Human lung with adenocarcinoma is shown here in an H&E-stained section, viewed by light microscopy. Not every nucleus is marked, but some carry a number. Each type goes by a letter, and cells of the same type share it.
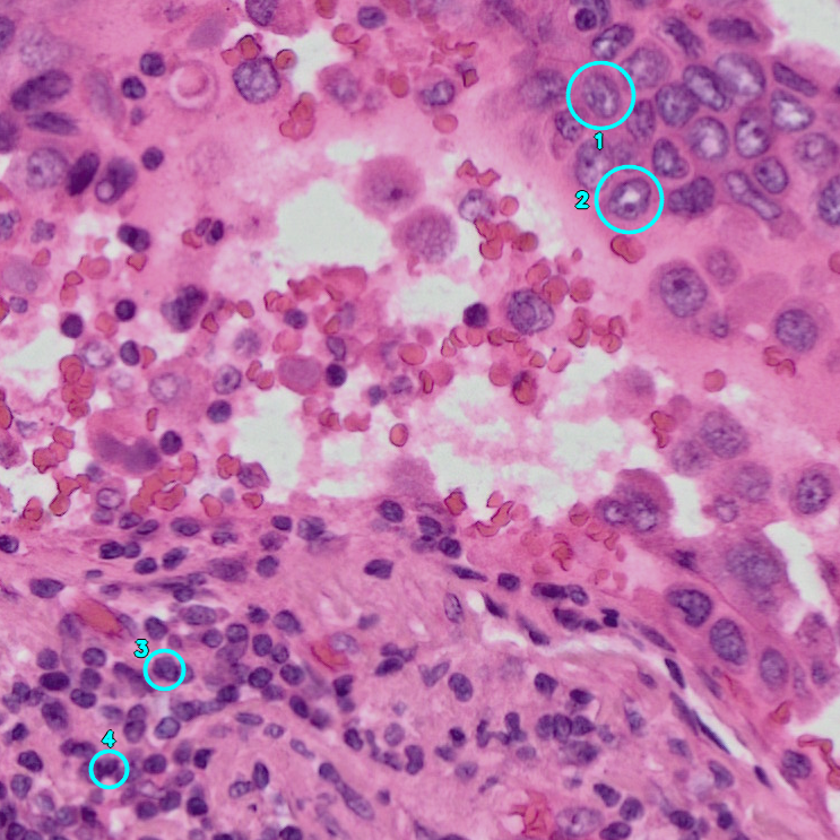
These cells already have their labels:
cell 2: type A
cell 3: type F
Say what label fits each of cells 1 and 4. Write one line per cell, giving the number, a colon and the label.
1: type A
4: type F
